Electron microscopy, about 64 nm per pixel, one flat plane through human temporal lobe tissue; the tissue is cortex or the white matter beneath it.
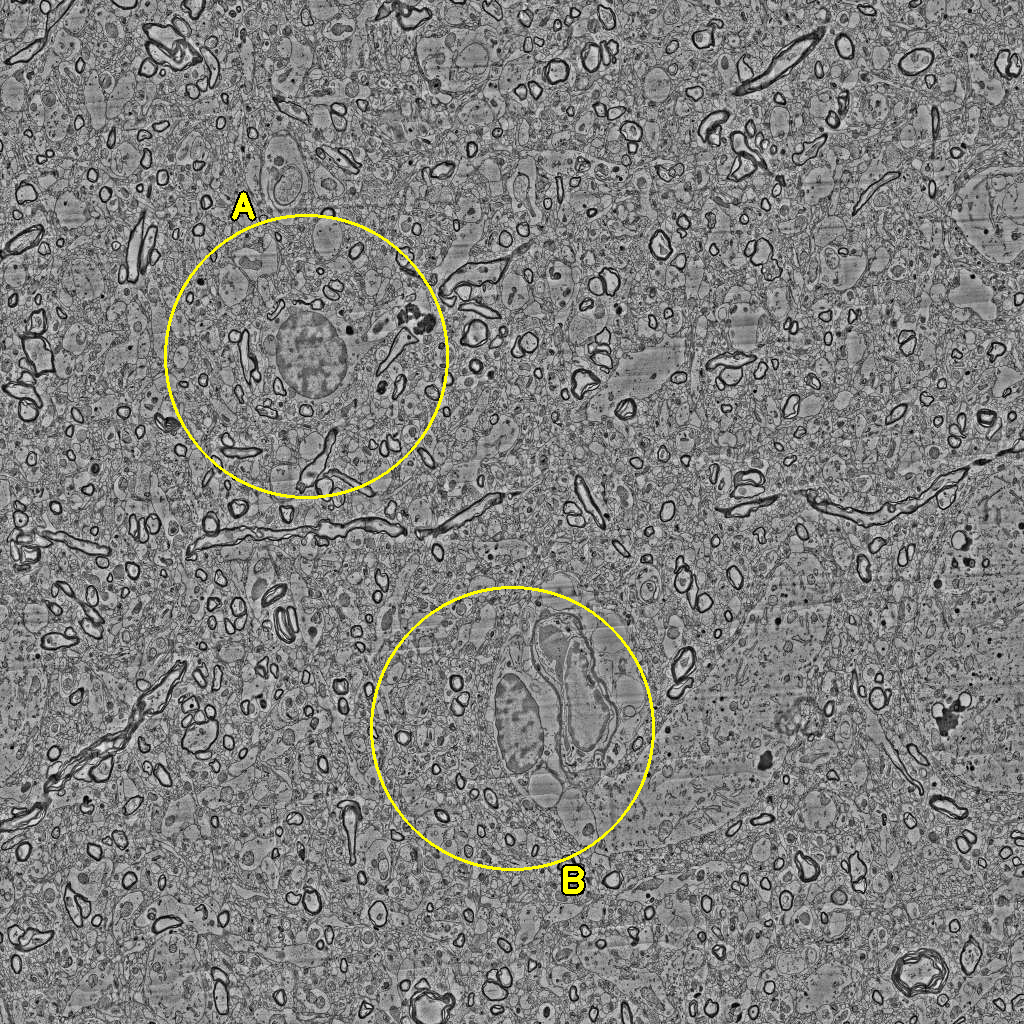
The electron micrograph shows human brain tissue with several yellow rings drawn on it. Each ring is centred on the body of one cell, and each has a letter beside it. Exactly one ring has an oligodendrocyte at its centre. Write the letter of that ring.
A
